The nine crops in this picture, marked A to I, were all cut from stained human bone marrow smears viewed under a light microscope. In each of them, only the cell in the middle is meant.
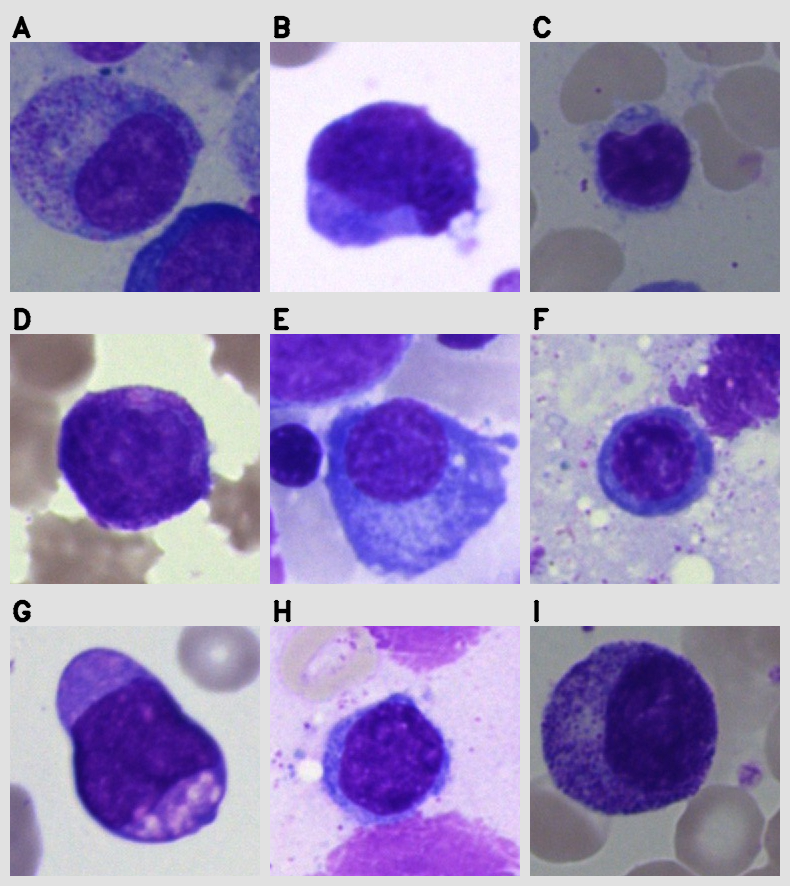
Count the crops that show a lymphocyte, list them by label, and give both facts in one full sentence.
Altogether two crops, namely C and H, show lymphocytes.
